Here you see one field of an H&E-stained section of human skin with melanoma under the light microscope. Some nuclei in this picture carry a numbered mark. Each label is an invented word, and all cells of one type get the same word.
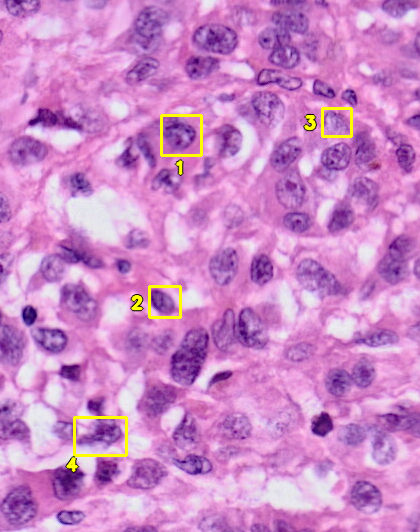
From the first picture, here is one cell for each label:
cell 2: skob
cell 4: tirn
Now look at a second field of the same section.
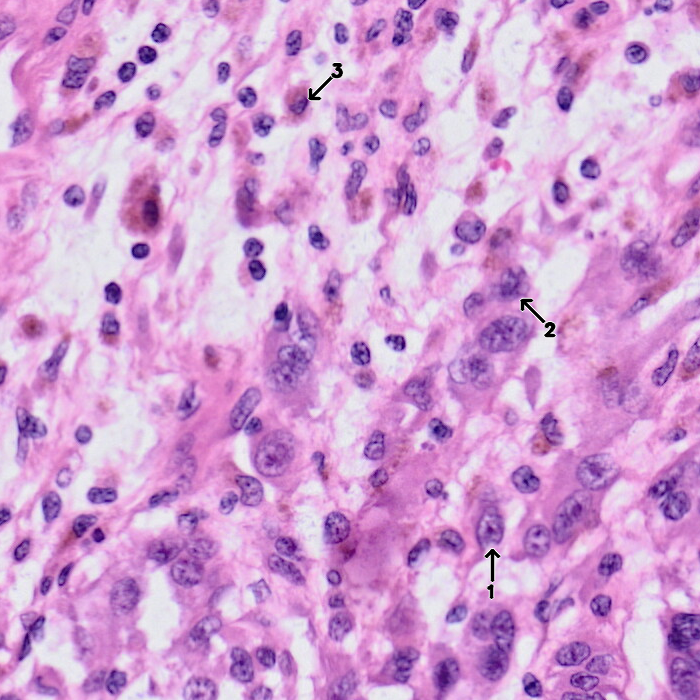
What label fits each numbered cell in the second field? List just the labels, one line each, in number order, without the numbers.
tirn
tirn
skob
